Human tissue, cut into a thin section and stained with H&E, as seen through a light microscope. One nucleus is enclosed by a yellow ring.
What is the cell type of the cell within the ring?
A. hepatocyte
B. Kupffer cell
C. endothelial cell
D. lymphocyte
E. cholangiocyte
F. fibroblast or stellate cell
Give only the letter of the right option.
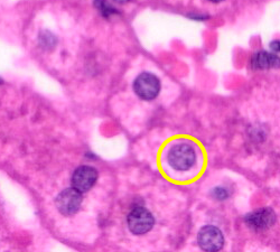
A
